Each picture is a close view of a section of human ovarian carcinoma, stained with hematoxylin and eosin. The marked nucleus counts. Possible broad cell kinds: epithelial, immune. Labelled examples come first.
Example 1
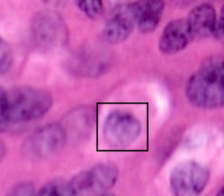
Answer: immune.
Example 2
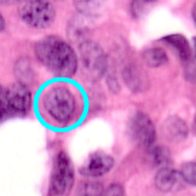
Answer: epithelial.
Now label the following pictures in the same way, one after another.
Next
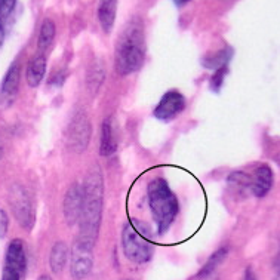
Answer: immune.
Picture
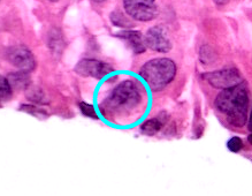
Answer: epithelial.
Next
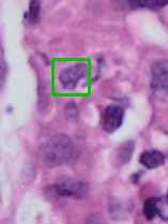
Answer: immune.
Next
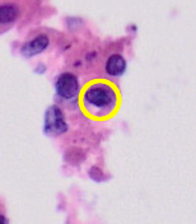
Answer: immune.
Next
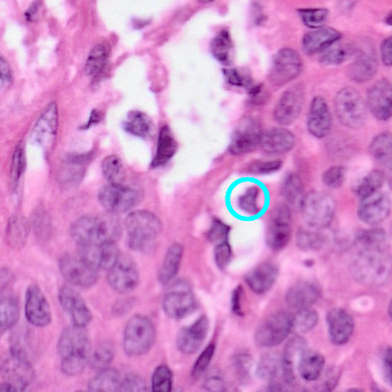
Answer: immune.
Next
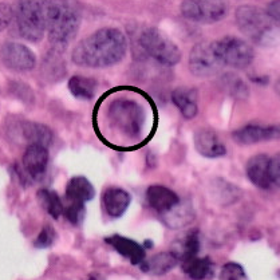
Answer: epithelial.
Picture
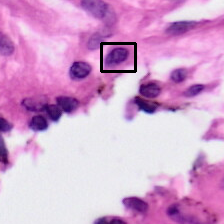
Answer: immune.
